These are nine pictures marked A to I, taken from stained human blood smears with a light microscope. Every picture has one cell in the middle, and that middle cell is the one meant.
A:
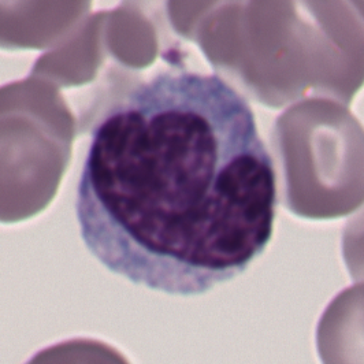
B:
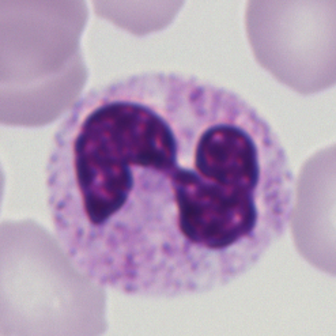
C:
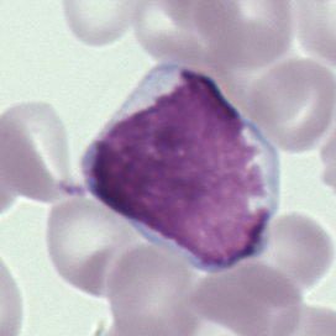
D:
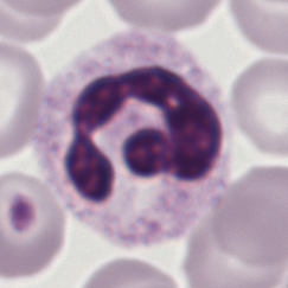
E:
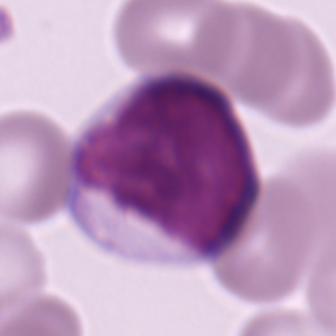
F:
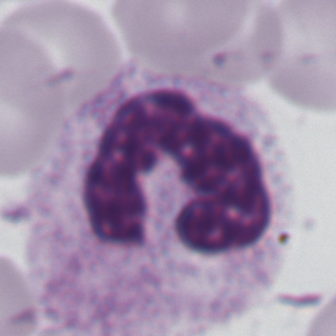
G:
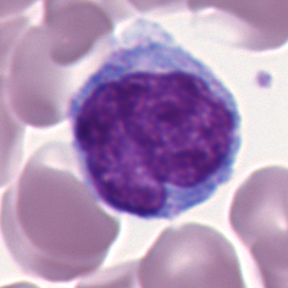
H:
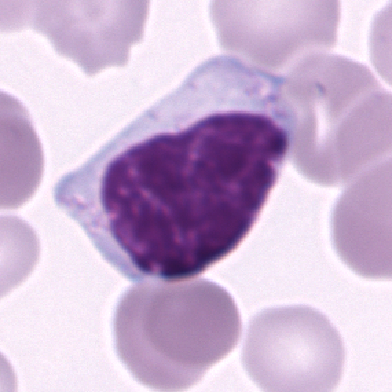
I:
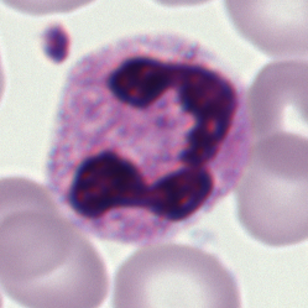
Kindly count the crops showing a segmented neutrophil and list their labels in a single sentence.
Crops B, D, F and I show segmented neutrophils, making four in all.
